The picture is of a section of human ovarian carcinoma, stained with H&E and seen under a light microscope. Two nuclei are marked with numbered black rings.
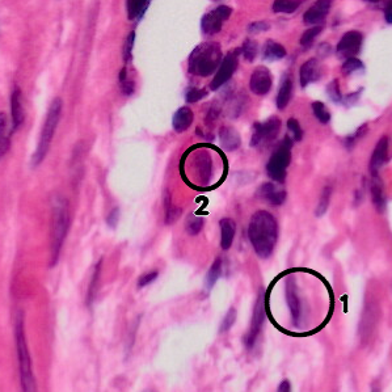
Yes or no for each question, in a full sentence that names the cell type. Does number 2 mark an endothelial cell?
Yes, so the cell at label 2 is an endothelial cell.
